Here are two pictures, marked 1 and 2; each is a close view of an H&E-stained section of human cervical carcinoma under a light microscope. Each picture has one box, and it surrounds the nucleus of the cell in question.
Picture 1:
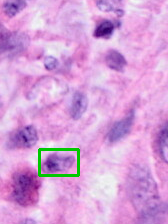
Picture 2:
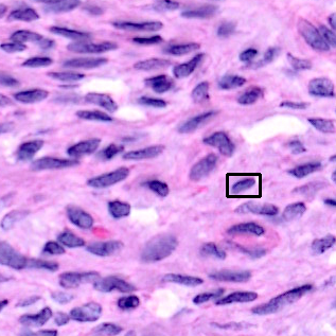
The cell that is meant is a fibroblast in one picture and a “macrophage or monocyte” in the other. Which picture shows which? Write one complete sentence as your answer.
Picture 1 shows a “macrophage or monocyte” and picture 2 shows a fibroblast.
